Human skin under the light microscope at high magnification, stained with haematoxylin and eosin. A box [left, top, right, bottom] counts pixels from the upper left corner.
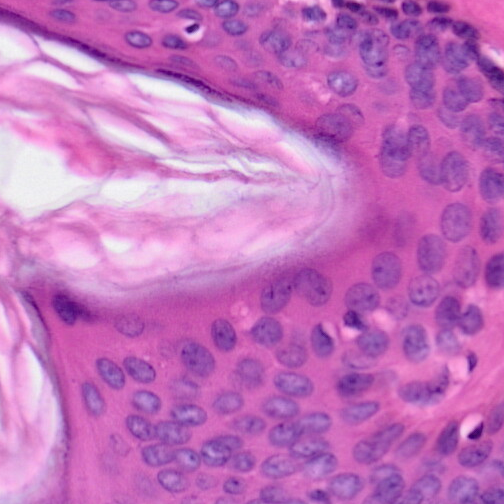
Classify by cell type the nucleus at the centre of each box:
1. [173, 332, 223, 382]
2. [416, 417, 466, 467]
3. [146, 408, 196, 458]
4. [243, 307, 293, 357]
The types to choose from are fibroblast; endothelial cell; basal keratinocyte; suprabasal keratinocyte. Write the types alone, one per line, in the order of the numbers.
suprabasal keratinocyte
basal keratinocyte
suprabasal keratinocyte
suprabasal keratinocyte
